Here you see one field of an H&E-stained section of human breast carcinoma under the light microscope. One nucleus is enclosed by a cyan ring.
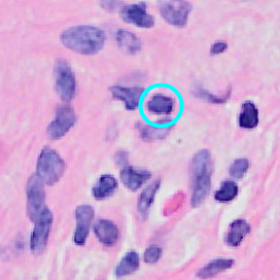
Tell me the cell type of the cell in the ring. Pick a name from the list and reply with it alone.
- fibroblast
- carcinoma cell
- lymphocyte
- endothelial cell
lymphocyte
